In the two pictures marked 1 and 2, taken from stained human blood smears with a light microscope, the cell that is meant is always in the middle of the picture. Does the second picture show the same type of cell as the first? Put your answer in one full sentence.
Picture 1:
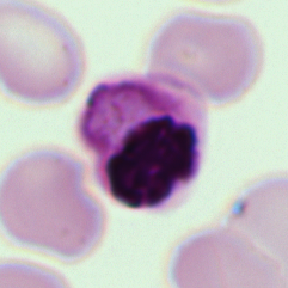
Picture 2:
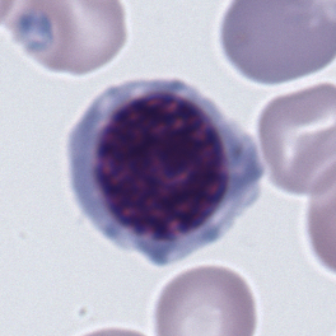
Yes, they are the same type: both are normoblasts.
